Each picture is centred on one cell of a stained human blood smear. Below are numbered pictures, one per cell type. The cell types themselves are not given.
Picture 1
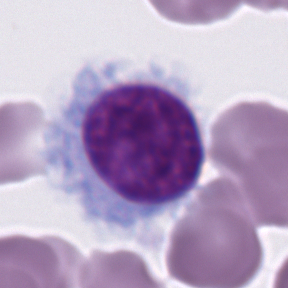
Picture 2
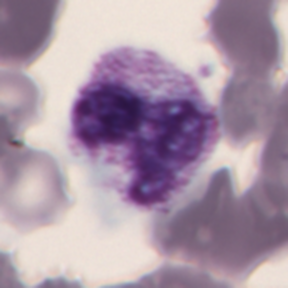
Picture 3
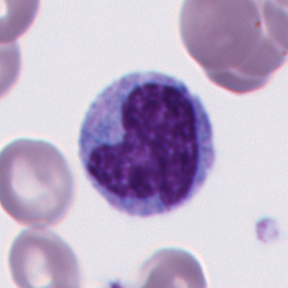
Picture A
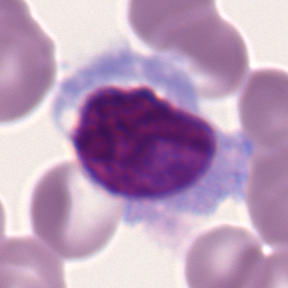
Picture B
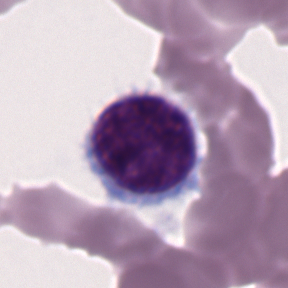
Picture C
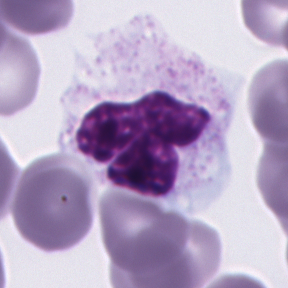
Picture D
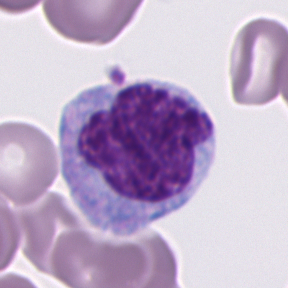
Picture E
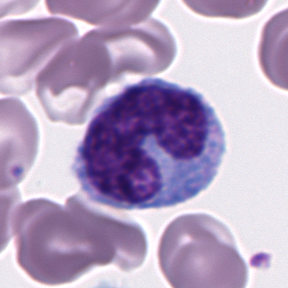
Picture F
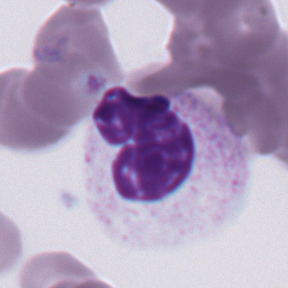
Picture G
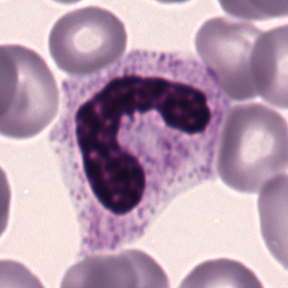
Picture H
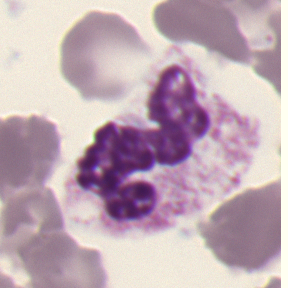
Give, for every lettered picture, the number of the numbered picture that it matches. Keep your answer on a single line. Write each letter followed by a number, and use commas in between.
A 1, B 1, C 2, D 3, E 3, F 2, G 2, H 2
